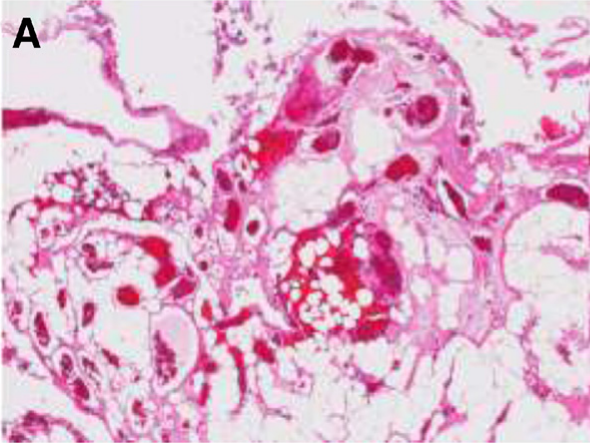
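This lesion is made of mature fat cells, seen as clear empty spaces with thin pink borders, mixed with many small to medium-sized blood vessels. The vessels have pink walls, and many hold deep-red packed contents. In places they cluster closely among the fat spaces.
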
